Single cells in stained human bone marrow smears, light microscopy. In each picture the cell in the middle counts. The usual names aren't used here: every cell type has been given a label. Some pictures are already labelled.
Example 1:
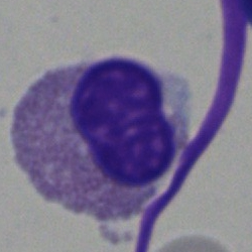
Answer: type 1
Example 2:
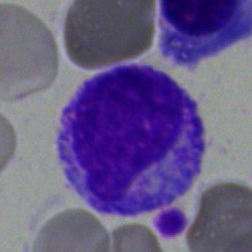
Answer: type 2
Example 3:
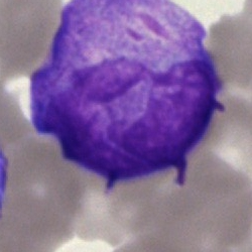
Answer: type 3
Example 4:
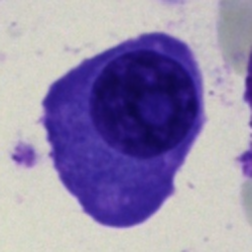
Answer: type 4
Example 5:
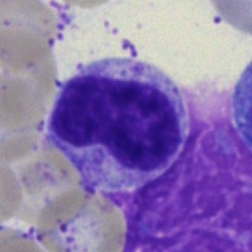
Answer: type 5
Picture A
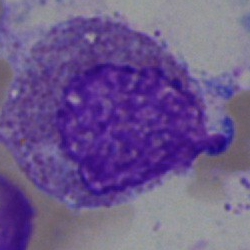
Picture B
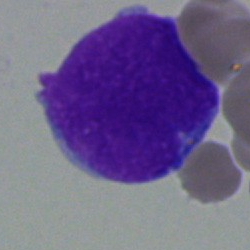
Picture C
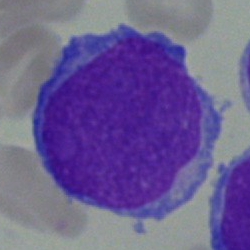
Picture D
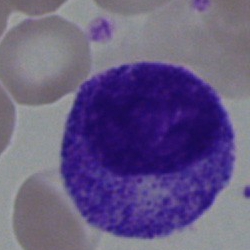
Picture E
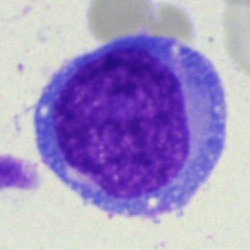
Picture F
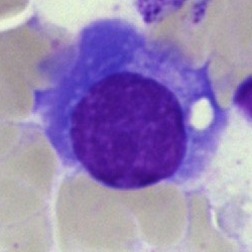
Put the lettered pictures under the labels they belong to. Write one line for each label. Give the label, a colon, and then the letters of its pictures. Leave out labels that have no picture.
type 1: A
type 2: D
type 3: B, C, E
type 4: F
